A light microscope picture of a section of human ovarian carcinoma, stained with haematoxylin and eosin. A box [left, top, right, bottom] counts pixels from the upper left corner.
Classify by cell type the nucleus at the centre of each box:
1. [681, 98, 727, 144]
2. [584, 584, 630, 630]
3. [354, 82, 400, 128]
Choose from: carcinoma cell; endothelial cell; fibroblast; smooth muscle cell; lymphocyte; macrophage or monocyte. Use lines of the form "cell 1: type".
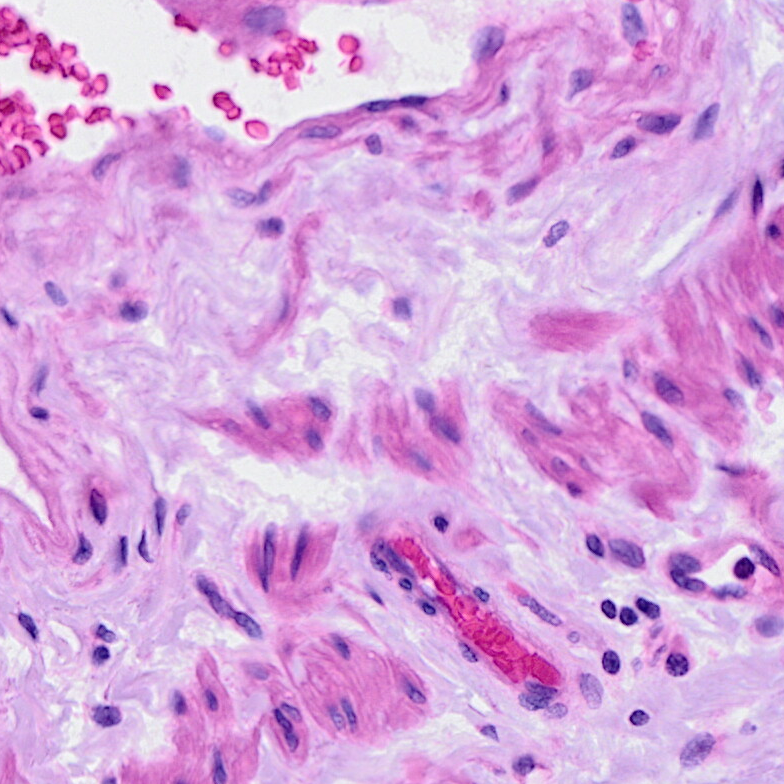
cell 1: fibroblast
cell 2: lymphocyte
cell 3: endothelial cell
